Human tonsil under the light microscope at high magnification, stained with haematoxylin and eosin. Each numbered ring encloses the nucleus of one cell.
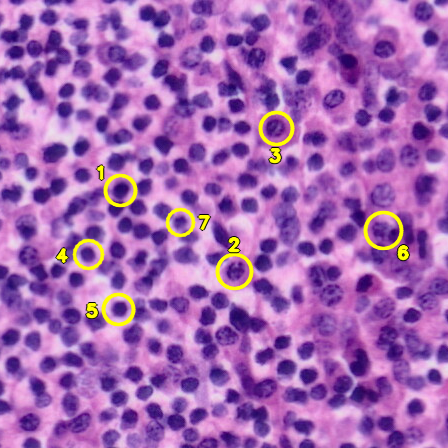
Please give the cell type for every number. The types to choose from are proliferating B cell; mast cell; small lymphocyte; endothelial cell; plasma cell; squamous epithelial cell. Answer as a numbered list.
1. small lymphocyte
2. plasma cell
3. plasma cell
4. small lymphocyte
5. small lymphocyte
6. plasma cell
7. small lymphocyte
